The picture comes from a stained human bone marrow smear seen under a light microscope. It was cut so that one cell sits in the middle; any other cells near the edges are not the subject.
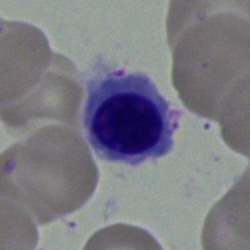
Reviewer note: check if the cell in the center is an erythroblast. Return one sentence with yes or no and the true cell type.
Yes, the cell shown centrally is an erythroblast.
